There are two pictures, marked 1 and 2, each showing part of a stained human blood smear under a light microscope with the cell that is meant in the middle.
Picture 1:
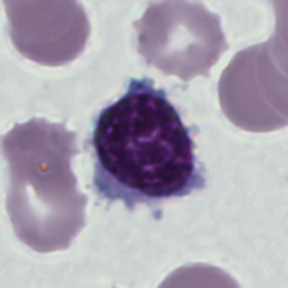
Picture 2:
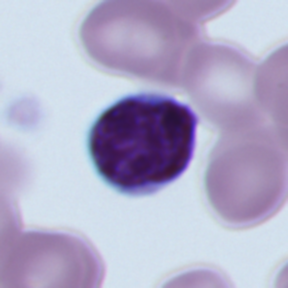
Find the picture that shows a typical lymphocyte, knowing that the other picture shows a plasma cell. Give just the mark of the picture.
2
